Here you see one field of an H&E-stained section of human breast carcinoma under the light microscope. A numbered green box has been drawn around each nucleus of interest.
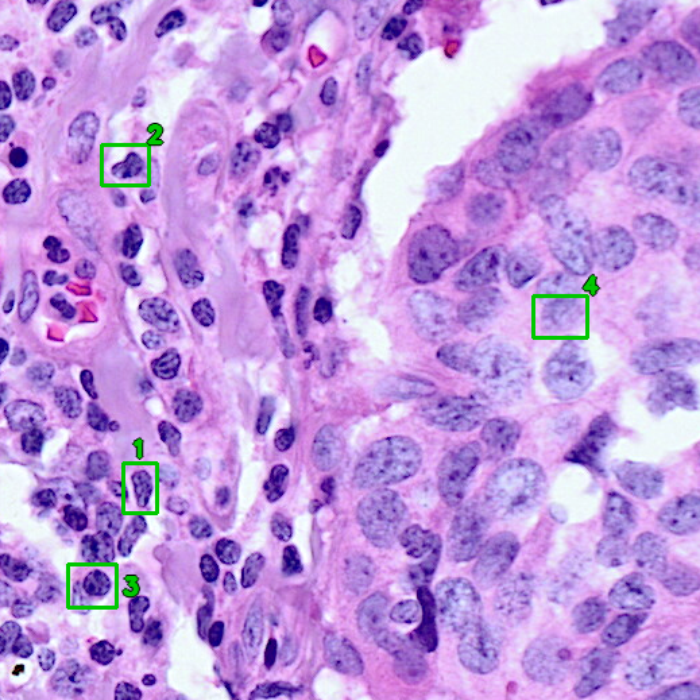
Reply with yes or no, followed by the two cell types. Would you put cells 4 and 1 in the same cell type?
No, cell 4 is a carcinoma cell, but cell 1 is a lymphocyte.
